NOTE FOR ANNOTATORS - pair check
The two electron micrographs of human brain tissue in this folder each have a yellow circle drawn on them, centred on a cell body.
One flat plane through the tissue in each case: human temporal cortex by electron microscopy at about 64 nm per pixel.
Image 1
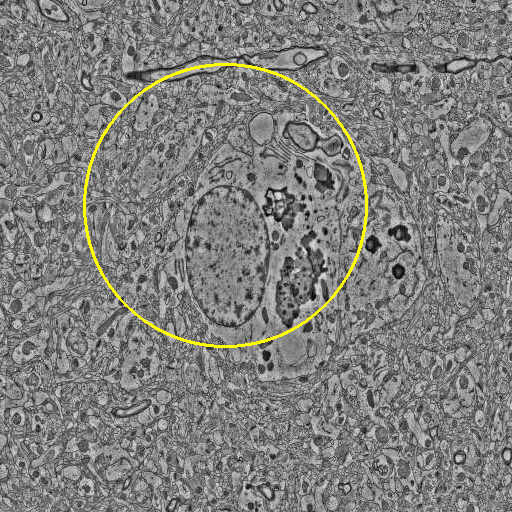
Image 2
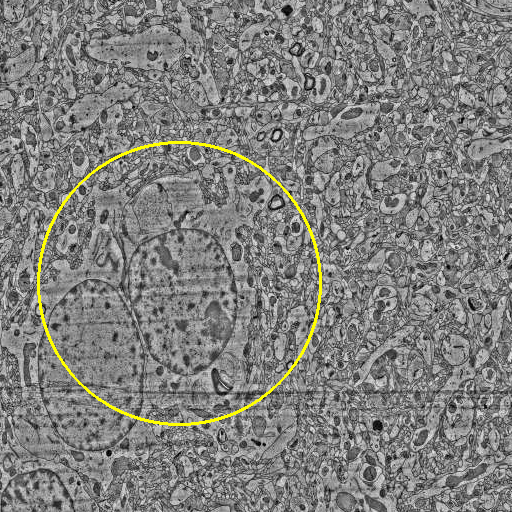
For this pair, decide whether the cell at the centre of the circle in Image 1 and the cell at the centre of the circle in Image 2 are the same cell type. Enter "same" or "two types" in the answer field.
same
